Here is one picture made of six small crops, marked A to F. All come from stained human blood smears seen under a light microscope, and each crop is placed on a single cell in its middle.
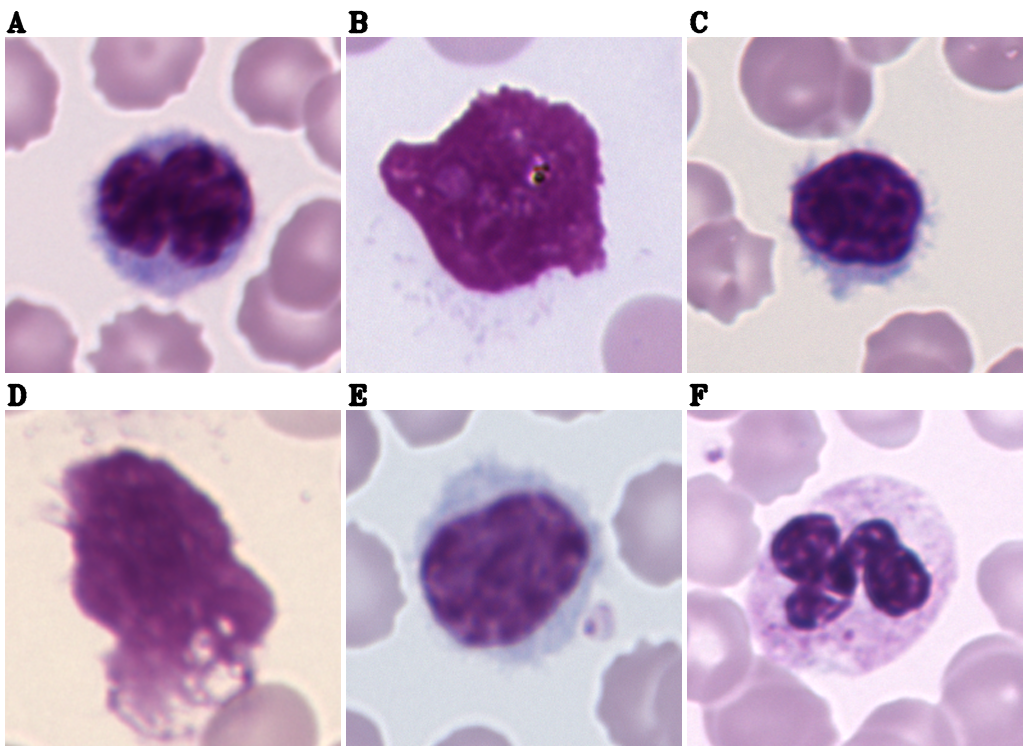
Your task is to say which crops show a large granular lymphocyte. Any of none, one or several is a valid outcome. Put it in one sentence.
Missing from all of the crops is a large granular lymphocyte.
